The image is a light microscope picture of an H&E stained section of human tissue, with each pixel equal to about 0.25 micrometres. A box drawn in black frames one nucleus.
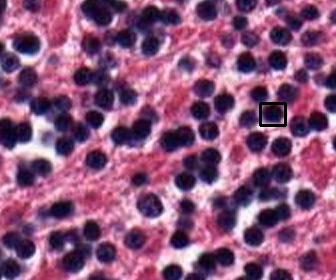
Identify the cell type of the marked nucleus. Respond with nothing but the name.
cerebellar granule cell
